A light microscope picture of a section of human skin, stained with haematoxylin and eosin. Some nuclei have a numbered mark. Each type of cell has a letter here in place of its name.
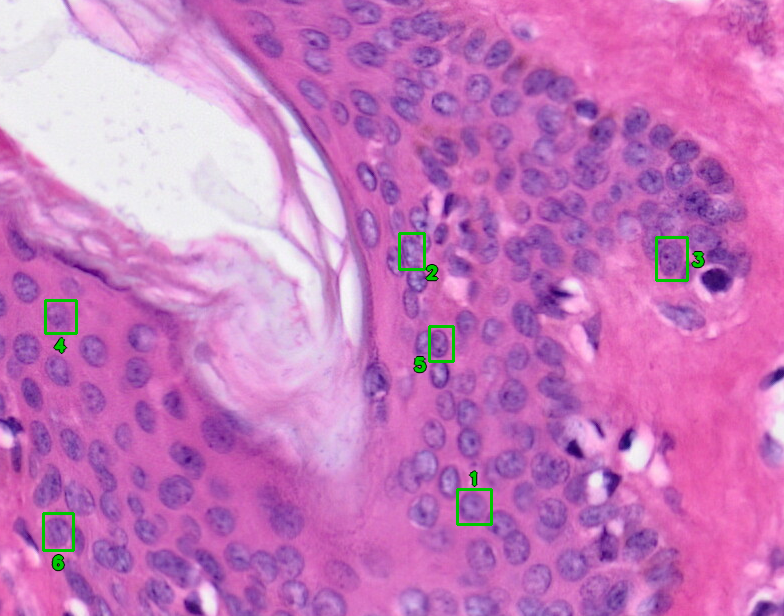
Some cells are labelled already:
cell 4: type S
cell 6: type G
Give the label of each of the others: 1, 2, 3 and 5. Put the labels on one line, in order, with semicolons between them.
type S; type S; type G; type S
